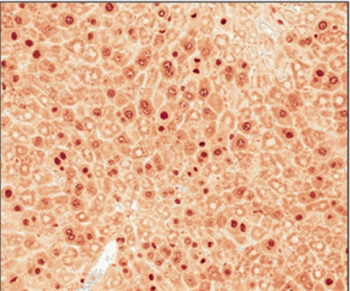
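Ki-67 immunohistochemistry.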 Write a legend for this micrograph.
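Liver parenchyma composed of tightly packed polygonal hepatocytes with abundant orange-tan cytoplasm and distinct cell borders. Small vessel lumens appear at the lower edge. Thin sinusoids run between the cords of cells, giving a fine reticular pattern to the tissue.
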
